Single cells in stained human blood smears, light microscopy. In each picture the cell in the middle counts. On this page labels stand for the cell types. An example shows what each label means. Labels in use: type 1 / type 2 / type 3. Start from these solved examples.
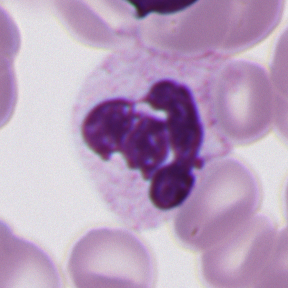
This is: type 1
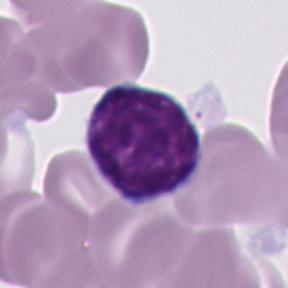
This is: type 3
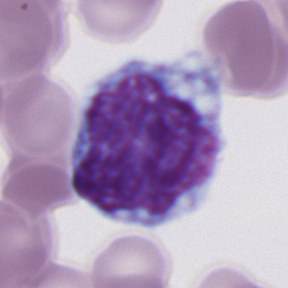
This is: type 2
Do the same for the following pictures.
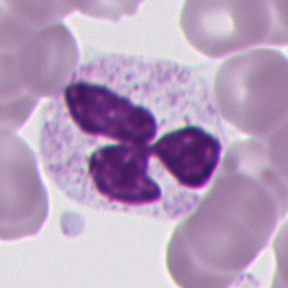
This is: type 1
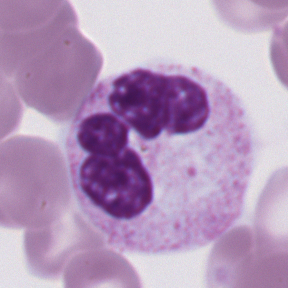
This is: type 1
